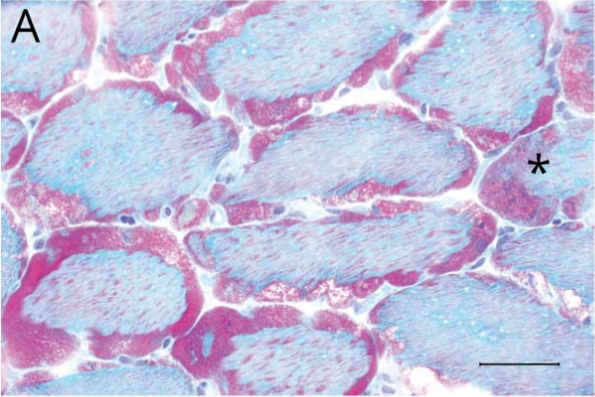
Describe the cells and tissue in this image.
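These are skeletal muscle fibers cut across. Many of them are ragged red fibers. Each fiber is a large oval or polygonal profile whose interior stains pale blue-green and shows fine myofibrillar texture. Around much of their margins, and in patches within, lies a coarse red-to-purple granular deposit. This gives the fibers a ragged, irregular red rim, thickest at some edges. Thin pale connective tissue separates the fibers, and small dark nuclei sit at the fiber edges and in the spaces between them.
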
